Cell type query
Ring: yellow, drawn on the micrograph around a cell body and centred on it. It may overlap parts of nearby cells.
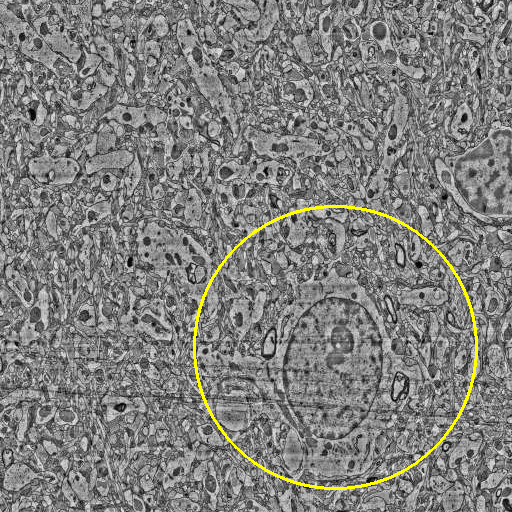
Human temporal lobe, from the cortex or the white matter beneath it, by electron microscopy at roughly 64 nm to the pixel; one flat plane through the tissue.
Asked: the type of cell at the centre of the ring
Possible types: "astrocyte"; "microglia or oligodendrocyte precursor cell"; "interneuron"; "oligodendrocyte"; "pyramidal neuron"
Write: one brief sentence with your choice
The ring marks an astrocyte.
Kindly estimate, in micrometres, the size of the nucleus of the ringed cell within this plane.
In this plane the nucleus spans approximately 9 by 6 micrometers.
